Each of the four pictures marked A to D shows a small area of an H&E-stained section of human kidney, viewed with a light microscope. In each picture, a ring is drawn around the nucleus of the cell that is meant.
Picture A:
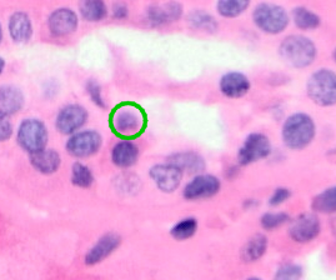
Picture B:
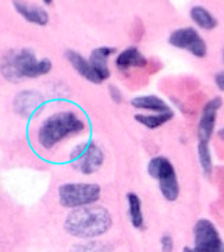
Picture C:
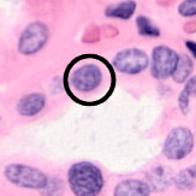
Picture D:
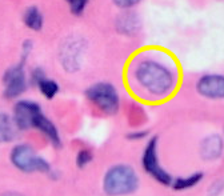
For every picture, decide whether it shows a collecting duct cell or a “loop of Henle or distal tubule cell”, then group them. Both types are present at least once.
A: collecting duct cell
B: collecting duct cell
C: collecting duct cell
D: loop of Henle or distal tubule cell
